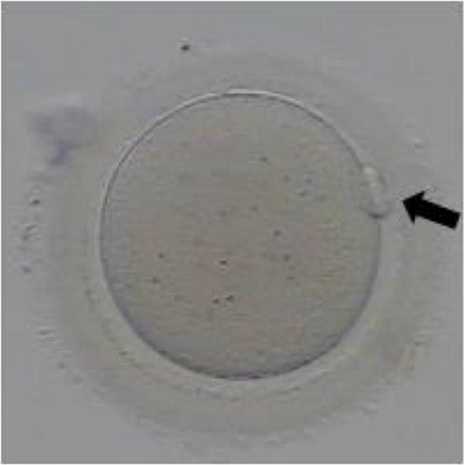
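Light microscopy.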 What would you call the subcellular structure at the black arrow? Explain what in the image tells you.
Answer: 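A small rounded body sits between the large round cell and its surrounding clear coat. It is much smaller than the large cell it lies beside.
Conclusion: polar body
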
